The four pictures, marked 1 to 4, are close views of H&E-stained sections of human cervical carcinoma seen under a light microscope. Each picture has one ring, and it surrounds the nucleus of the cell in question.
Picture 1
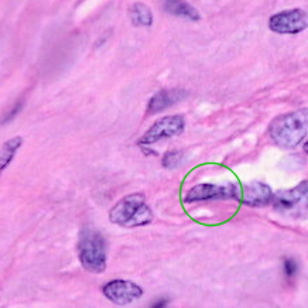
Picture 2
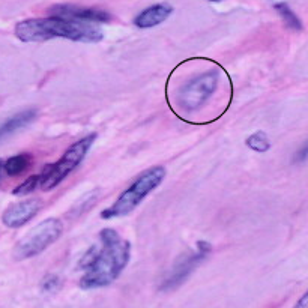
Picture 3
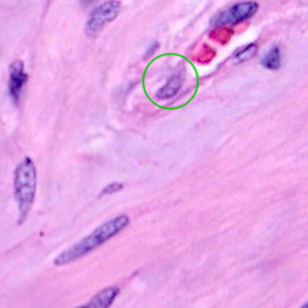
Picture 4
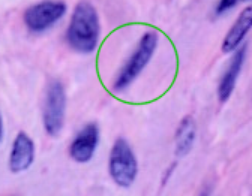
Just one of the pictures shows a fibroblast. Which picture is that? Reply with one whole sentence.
The picture with the fibroblast is 4.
